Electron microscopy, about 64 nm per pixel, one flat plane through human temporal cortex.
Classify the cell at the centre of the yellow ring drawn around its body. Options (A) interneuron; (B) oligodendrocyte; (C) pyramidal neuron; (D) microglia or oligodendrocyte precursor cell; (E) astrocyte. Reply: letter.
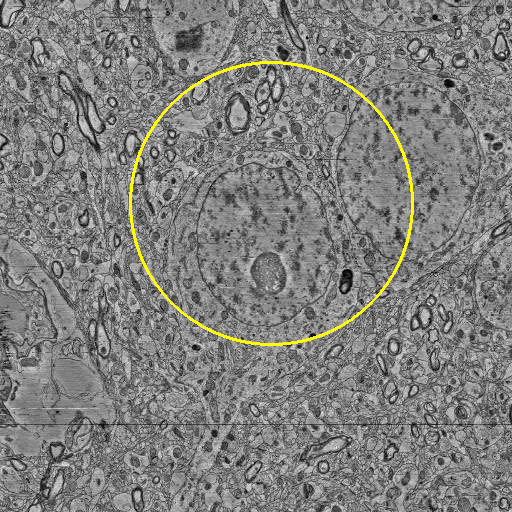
C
